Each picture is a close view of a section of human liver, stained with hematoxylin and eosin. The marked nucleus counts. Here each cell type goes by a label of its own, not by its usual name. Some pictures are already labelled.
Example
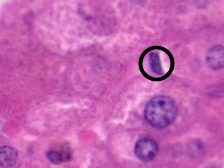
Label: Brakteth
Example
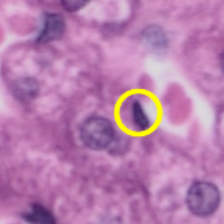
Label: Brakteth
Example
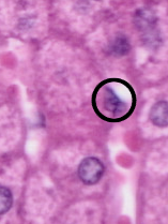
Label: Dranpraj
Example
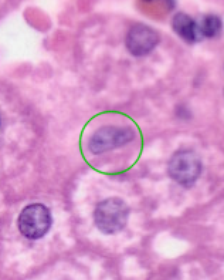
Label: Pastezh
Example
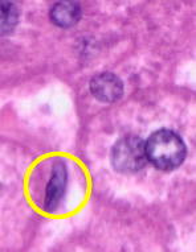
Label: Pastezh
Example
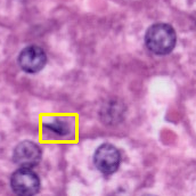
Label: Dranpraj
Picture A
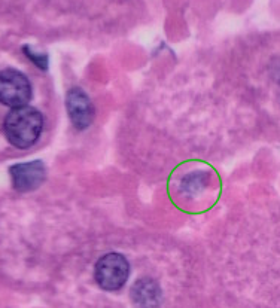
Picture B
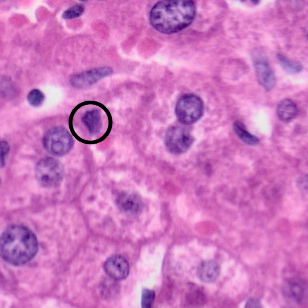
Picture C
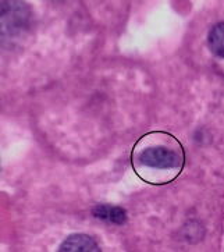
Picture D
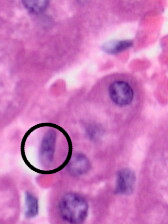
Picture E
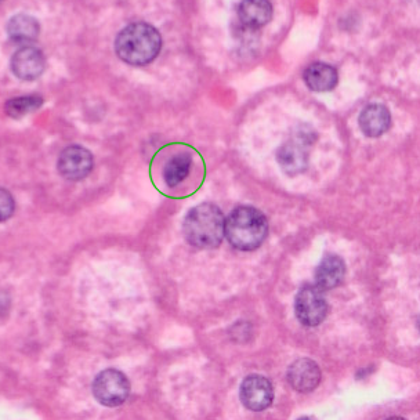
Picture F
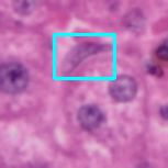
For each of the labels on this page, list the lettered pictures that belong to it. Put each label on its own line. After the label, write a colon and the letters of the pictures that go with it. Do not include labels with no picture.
Brakteth: B, E
Dranpraj: A
Pastezh: C, D, F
